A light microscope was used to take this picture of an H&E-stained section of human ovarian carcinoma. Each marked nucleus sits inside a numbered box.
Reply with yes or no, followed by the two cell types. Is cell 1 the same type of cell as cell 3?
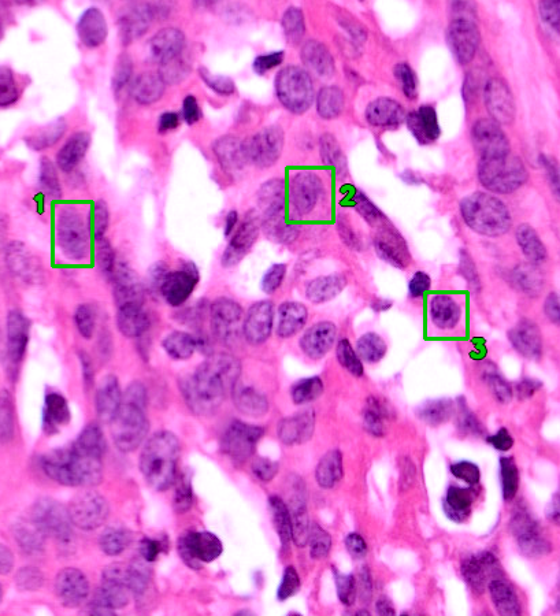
No, cell 1 is a carcinoma cell, and cell 3 is, by contrast, a macrophage or monocyte.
